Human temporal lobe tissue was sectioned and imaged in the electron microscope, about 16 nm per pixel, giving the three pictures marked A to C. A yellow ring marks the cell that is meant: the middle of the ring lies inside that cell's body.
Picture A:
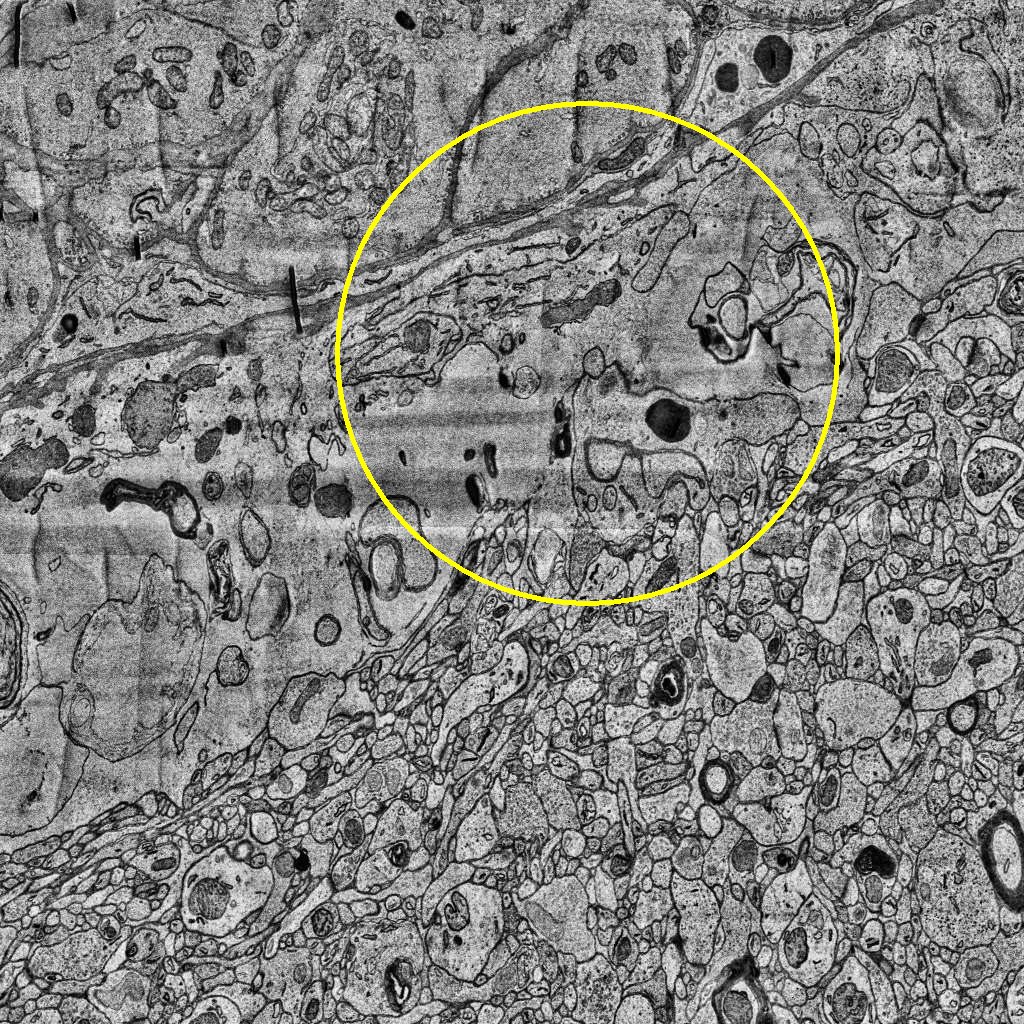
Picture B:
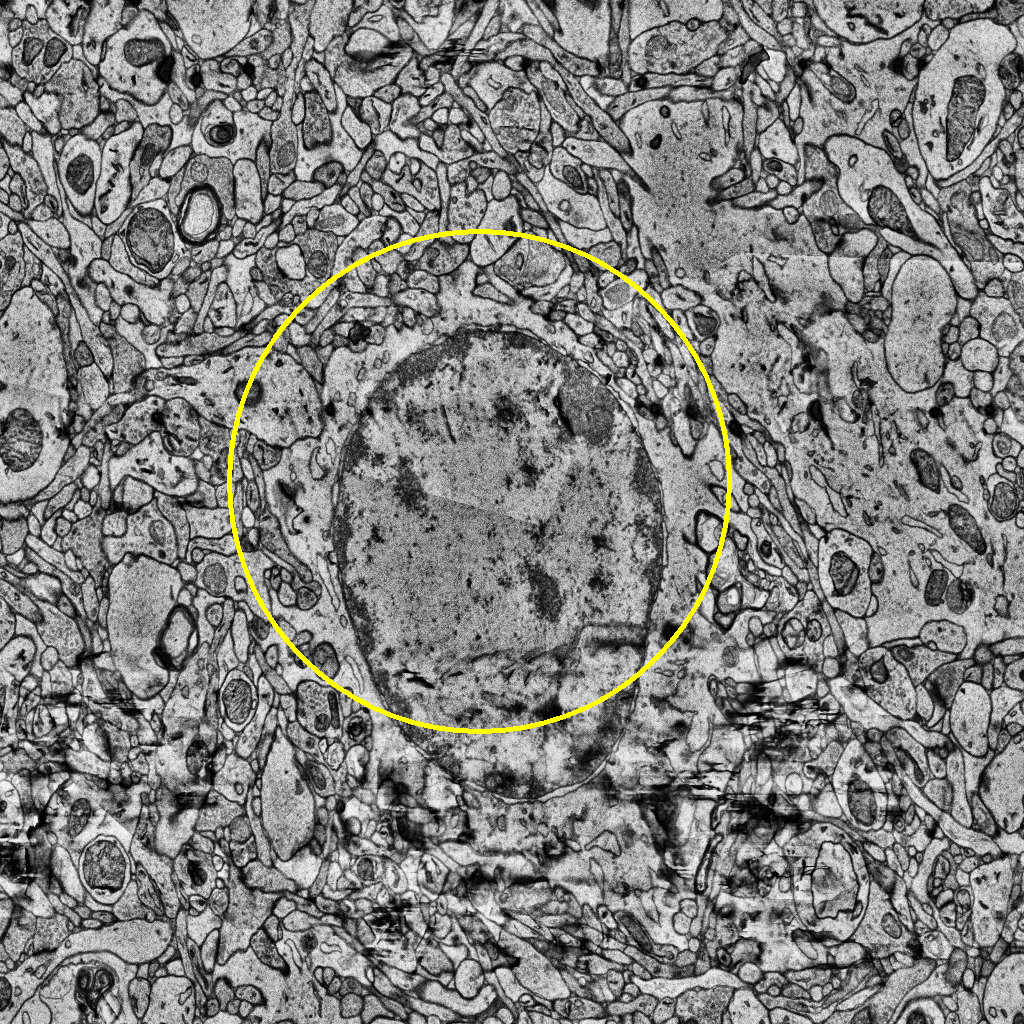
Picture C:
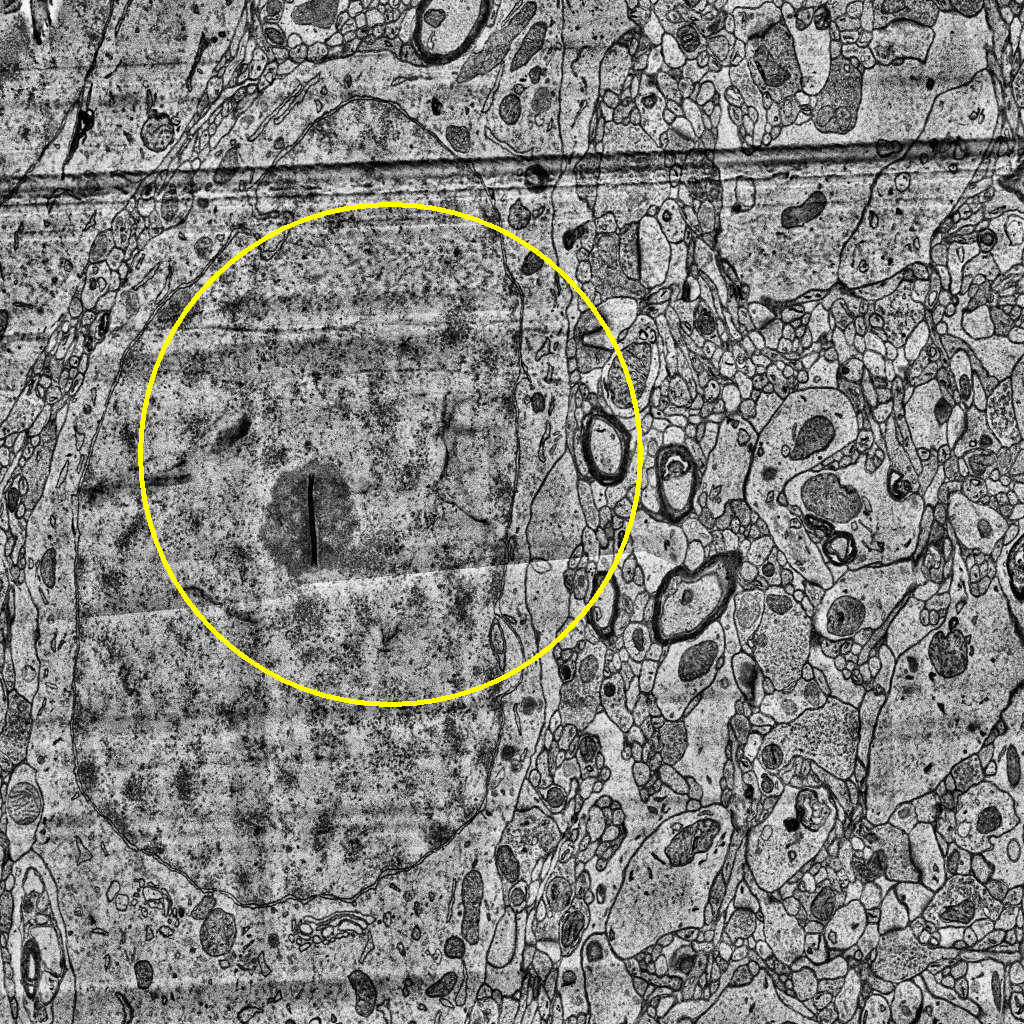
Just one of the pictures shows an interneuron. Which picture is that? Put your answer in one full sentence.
The picture with the interneuron is C.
